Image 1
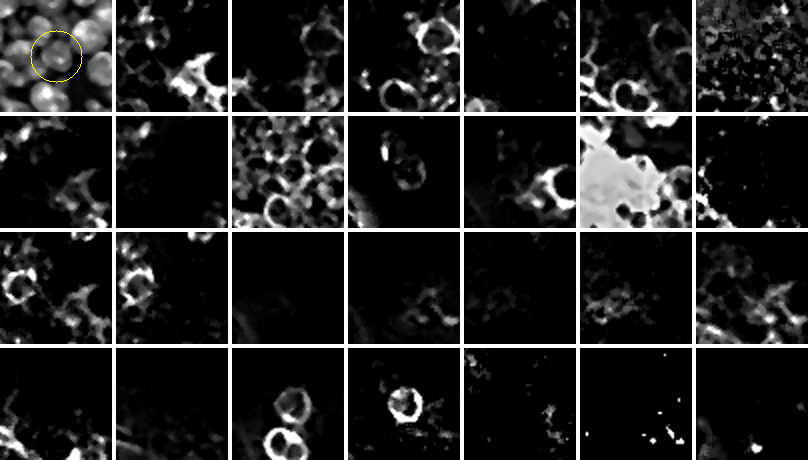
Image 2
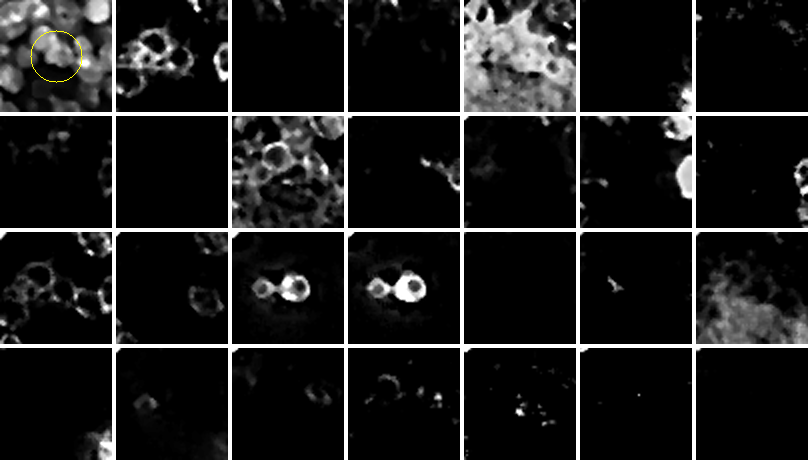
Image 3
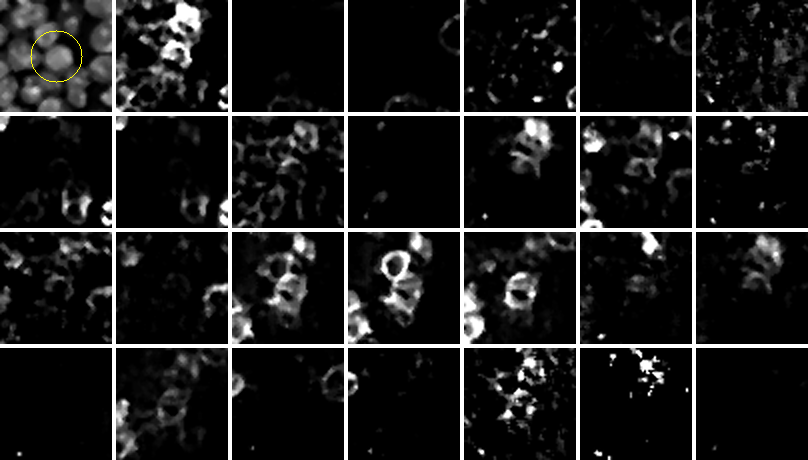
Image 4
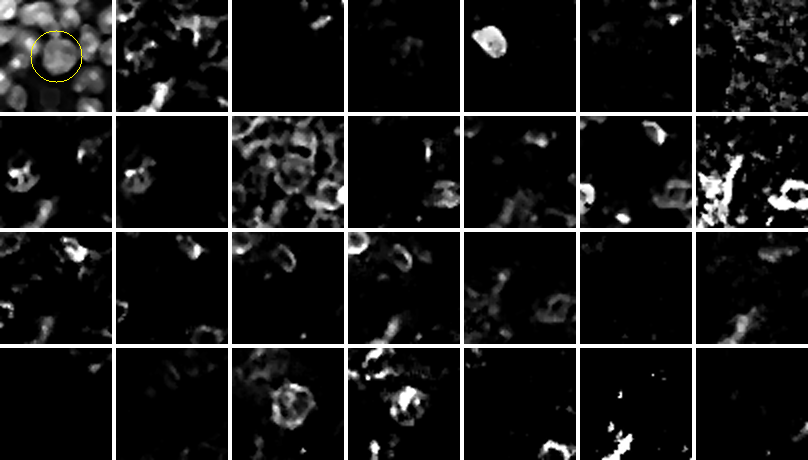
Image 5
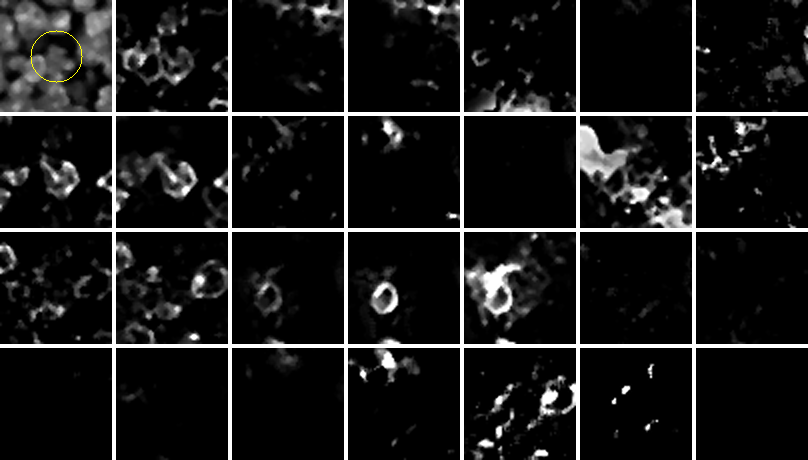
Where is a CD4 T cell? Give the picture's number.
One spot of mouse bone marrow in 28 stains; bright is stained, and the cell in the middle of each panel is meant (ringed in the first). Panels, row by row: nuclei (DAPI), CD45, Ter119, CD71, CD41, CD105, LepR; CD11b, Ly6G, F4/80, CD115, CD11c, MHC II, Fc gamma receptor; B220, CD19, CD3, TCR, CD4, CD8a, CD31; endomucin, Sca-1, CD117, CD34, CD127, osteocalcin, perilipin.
3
